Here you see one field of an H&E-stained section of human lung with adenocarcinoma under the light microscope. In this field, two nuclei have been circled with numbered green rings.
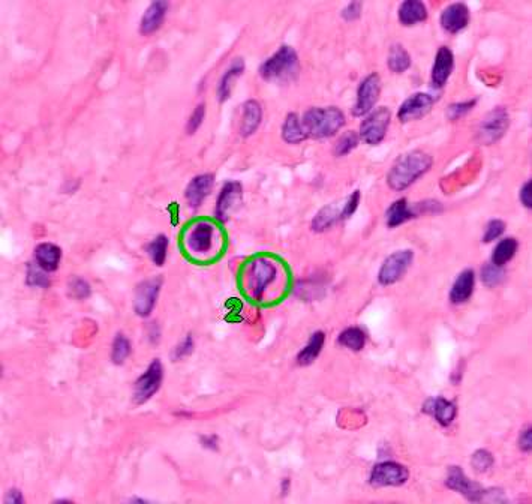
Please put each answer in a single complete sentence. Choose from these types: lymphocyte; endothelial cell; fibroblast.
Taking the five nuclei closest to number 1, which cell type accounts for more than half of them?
Fibroblasts make up most of the five nuclei closest to number 1.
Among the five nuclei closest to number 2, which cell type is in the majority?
Most of the five nuclei nearest to number 2 are those of fibroblasts.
